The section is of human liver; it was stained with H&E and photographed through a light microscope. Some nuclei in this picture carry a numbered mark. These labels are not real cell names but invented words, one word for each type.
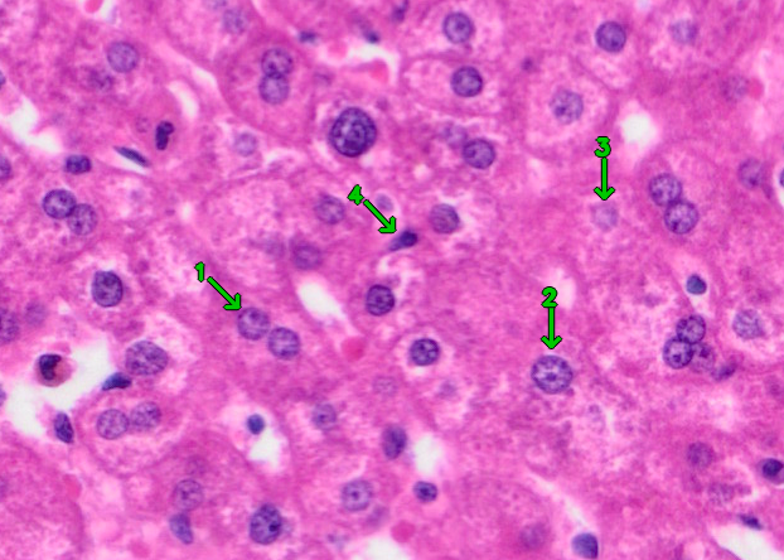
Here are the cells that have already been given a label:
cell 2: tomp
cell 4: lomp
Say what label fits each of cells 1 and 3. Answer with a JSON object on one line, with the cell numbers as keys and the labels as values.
{"1": "tomp", "3": "tomp"}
